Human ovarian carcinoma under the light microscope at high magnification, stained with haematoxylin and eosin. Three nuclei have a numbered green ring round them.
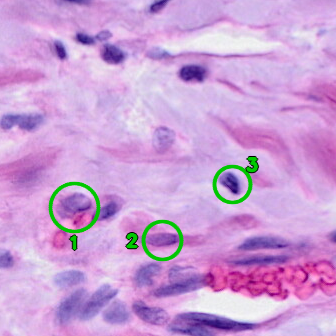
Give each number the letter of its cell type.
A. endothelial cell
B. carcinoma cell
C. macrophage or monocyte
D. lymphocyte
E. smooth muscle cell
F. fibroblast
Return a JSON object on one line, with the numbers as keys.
{"1": "A", "2": "E", "3": "D"}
